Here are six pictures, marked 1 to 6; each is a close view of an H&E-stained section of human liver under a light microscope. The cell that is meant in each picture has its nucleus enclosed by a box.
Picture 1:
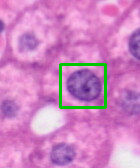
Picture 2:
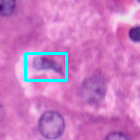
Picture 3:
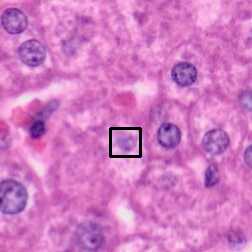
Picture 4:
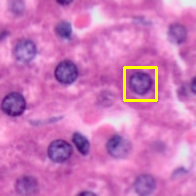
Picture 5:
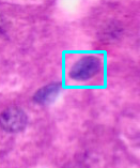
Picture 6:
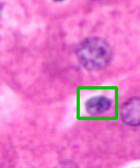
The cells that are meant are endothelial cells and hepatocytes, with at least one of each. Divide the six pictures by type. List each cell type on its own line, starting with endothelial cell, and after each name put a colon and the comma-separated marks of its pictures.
endothelial cell: 2, 5, 6
hepatocyte: 1, 3, 4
